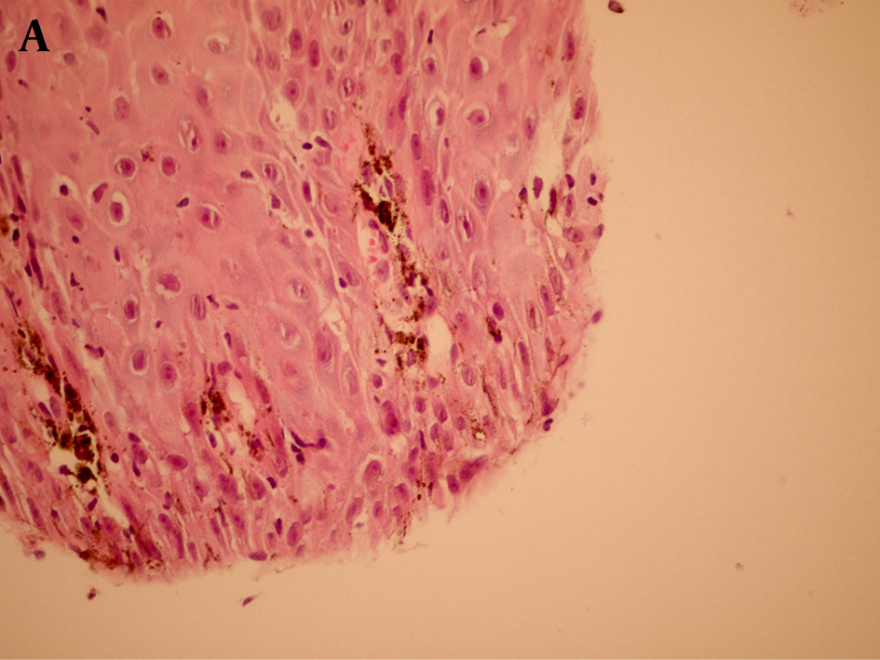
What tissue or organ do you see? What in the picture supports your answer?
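Stratified layers of polygonal cells with pink cytoplasm and round central nuclei. Cells flatten and elongate toward one edge of the section. So: Squamous Epithelium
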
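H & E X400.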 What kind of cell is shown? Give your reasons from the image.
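Most cells are large polygonal cells with abundant pink cytoplasm. They are packed in layers with small spaces between them. That points to this answer: Keratinocytes.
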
